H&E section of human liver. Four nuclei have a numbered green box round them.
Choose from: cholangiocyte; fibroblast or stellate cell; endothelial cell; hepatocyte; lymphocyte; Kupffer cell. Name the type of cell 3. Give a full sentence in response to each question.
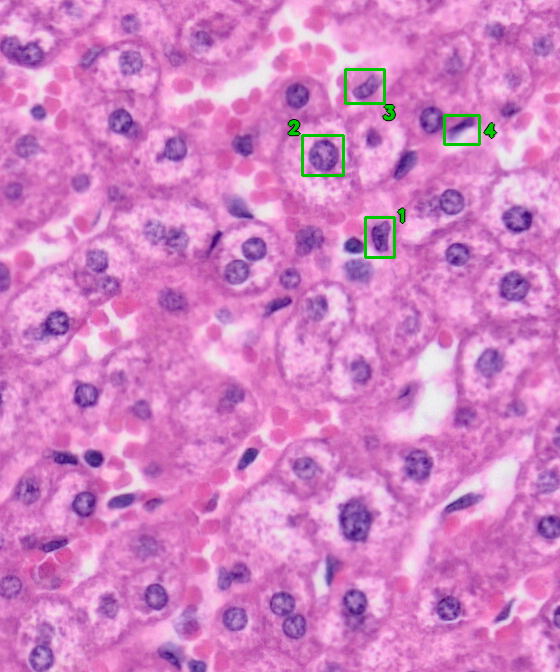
Cell 3 of the marked set is a Kupffer cell.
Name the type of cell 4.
Among the marked cells, number 4 is an endothelial cell.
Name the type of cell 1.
The one numbered 1 among the marked cells is a Kupffer cell.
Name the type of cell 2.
The marked nucleus 2 is that of a hepatocyte.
